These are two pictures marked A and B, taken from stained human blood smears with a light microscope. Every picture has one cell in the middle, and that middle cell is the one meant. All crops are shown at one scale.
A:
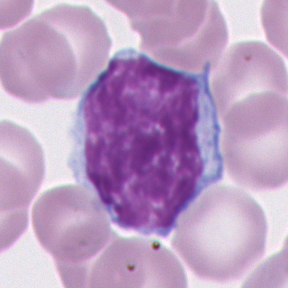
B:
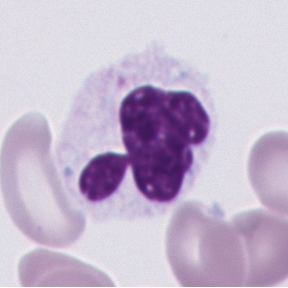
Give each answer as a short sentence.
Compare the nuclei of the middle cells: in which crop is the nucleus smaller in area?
Crop B shows the smaller nucleus, since that in crop A covers about 2 times as much area.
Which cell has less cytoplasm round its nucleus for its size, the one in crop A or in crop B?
In crop A the nucleus takes up the larger part of its cell.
